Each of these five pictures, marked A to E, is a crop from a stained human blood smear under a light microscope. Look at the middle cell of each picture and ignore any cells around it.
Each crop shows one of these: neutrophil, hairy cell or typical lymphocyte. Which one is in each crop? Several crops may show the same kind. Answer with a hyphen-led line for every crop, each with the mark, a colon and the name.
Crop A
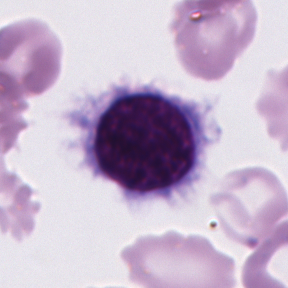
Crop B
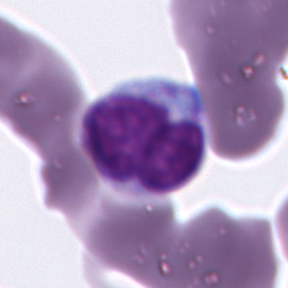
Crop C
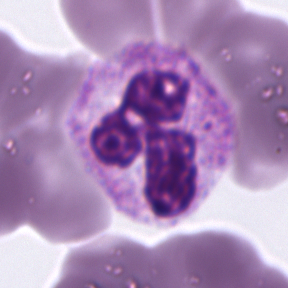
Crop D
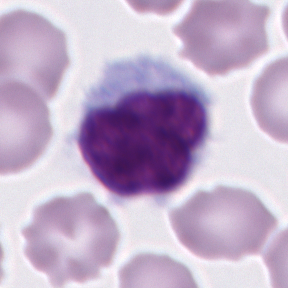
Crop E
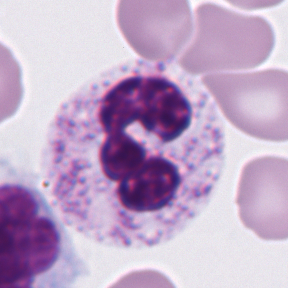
- A: hairy cell
- B: typical lymphocyte
- C: neutrophil
- D: hairy cell
- E: neutrophil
